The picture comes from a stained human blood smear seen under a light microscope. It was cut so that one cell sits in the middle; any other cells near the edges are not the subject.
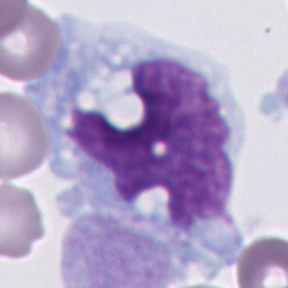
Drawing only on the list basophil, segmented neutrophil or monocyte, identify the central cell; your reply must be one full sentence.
The cell in the middle of the field of view is a monocyte.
